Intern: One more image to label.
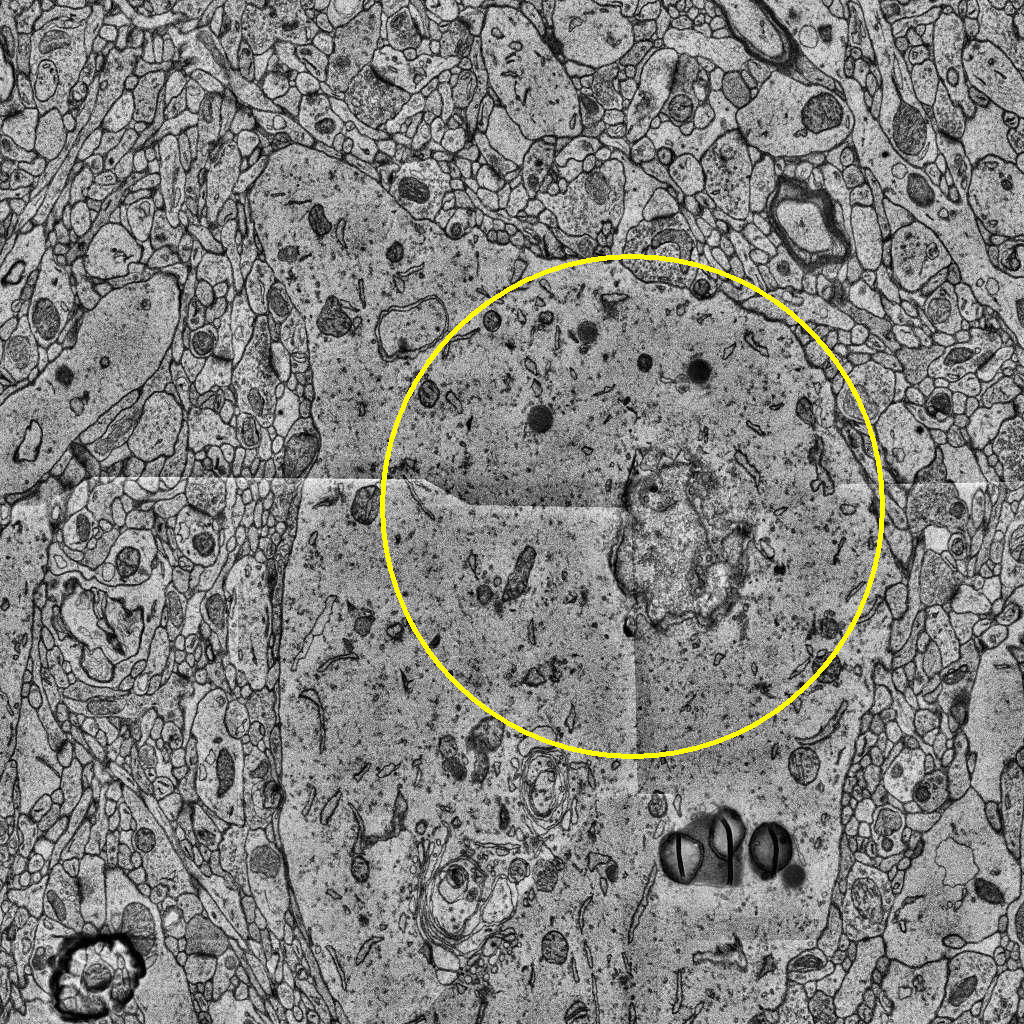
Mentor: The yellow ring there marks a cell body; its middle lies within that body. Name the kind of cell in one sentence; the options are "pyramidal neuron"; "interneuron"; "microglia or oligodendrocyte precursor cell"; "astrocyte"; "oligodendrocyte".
The ring marks the cell body of a pyramidal neuron.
